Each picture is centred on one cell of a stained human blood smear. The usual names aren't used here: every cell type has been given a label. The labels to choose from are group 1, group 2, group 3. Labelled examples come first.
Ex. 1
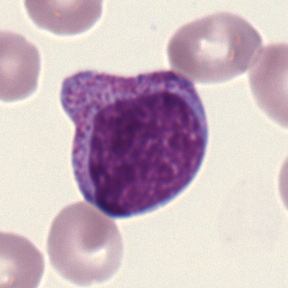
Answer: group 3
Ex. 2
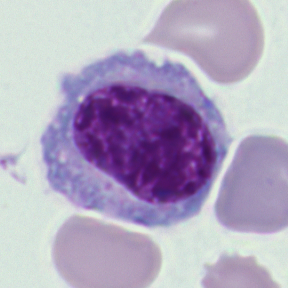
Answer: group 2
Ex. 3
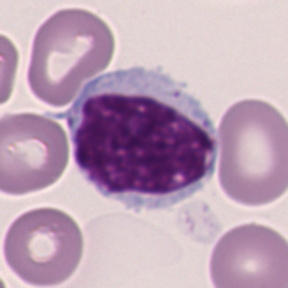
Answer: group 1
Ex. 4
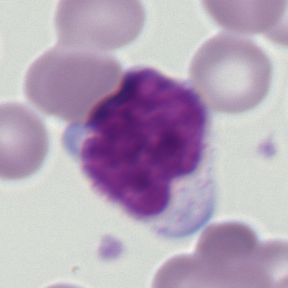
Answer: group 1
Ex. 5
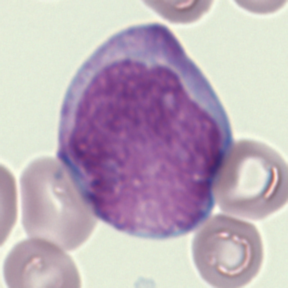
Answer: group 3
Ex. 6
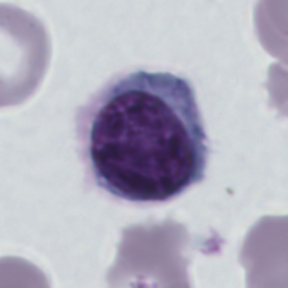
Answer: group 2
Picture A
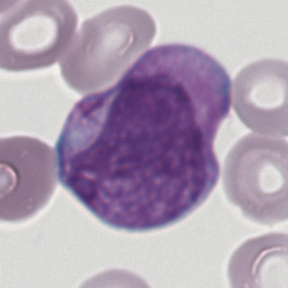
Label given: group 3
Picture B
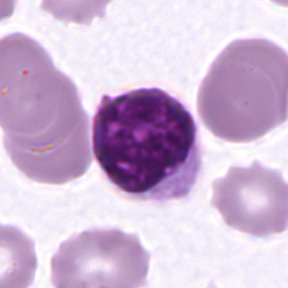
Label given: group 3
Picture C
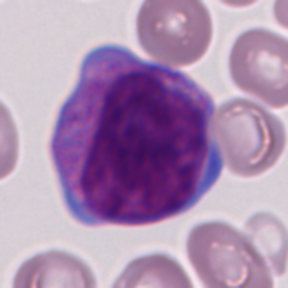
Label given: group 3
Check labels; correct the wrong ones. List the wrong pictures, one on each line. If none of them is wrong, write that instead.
B should be group 2, not group 3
